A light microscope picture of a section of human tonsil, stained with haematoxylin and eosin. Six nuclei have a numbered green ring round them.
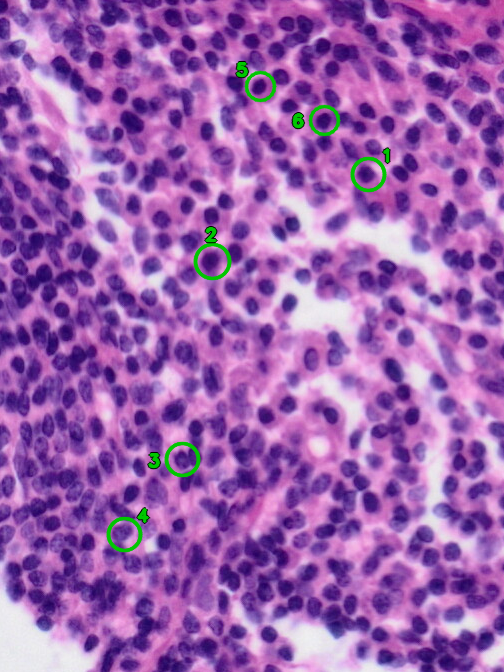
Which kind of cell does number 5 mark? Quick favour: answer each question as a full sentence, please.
The nucleus labelled 5 belongs to a plasma cell.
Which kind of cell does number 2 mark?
The cell pointed out as number 2 is a plasma cell.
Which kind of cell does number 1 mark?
Regarding cell 1, this one is a plasma cell.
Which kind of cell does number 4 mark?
The cell given label 4 is a small lymphocyte.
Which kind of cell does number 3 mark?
The cell identified by the number 3 is a small lymphocyte.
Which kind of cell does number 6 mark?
The expected answer is that cell 6 is a plasma cell.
